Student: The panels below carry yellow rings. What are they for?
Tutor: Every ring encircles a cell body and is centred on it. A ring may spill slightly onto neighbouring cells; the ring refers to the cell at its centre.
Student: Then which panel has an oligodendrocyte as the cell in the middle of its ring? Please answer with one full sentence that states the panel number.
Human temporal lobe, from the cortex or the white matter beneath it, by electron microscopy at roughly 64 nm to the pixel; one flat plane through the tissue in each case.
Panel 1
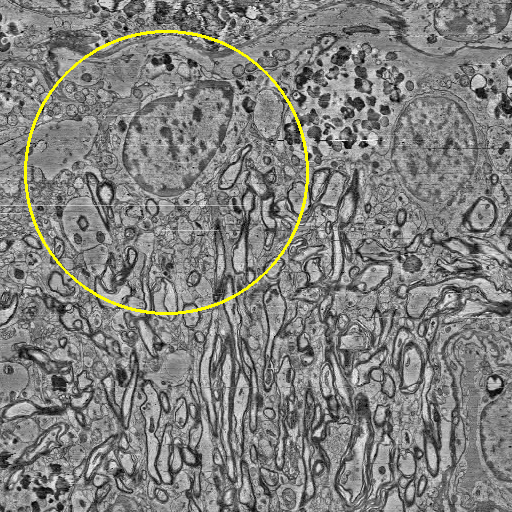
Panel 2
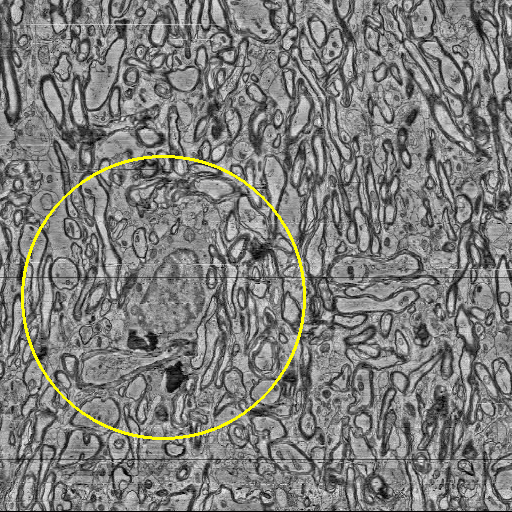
In Panel 2, the cell centred in the ring is the one sought.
